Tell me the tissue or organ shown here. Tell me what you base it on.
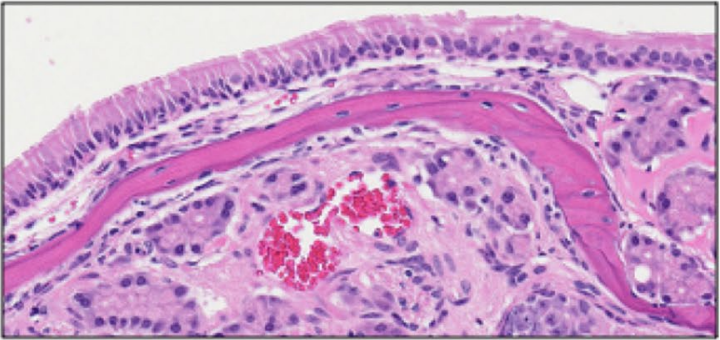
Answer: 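A tall columnar epithelium with a ciliated-looking surface covers a thin lamina propria. Glands and a blood vessel lie beneath a pink band of bone. That points to this answer: nasal respiratory mucosa.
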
